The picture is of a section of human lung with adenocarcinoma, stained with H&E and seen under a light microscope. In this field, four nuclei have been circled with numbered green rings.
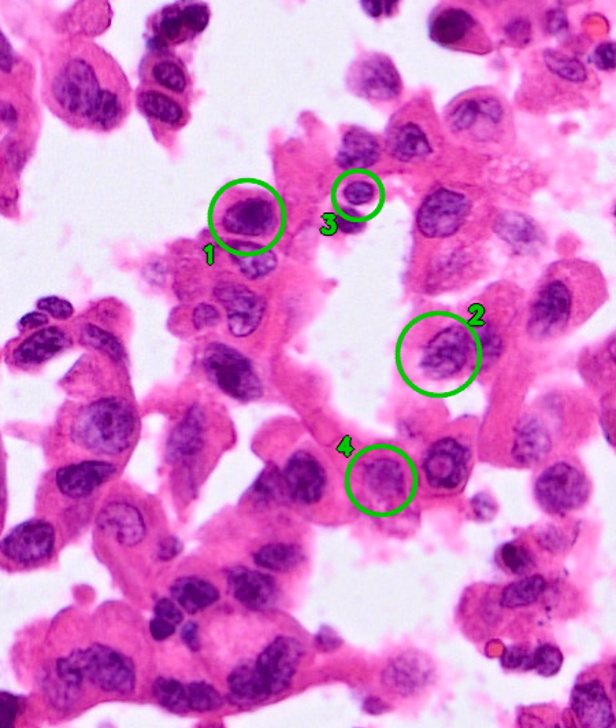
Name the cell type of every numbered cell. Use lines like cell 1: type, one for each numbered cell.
cell 1: carcinoma cell
cell 2: carcinoma cell
cell 3: lymphocyte
cell 4: carcinoma cell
